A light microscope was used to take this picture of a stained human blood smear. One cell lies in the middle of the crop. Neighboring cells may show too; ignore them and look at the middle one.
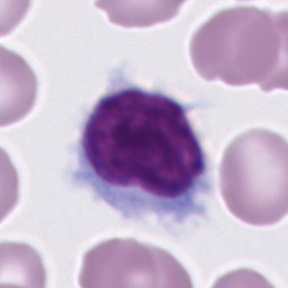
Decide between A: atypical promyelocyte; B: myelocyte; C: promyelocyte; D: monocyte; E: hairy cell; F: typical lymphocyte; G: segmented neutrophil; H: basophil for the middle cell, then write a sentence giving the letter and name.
Option E is right, the centrally situated cell being a hairy cell.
